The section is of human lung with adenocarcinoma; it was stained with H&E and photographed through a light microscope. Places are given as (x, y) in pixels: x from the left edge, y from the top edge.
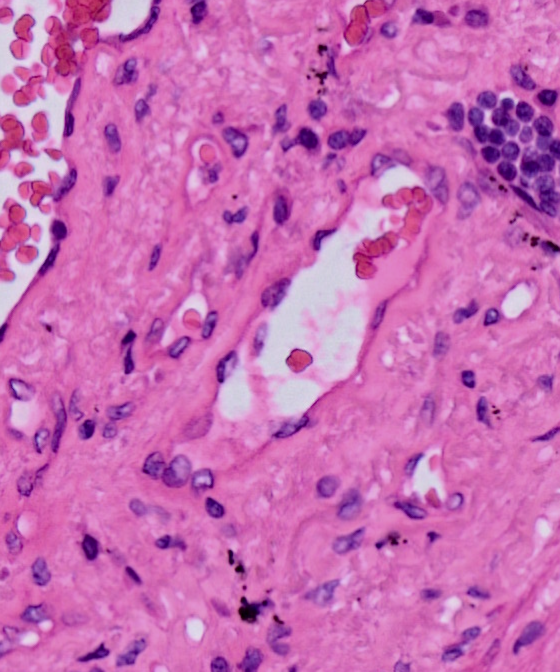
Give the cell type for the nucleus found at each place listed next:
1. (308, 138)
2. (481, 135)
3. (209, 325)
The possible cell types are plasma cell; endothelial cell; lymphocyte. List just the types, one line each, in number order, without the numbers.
plasma cell
lymphocyte
endothelial cell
